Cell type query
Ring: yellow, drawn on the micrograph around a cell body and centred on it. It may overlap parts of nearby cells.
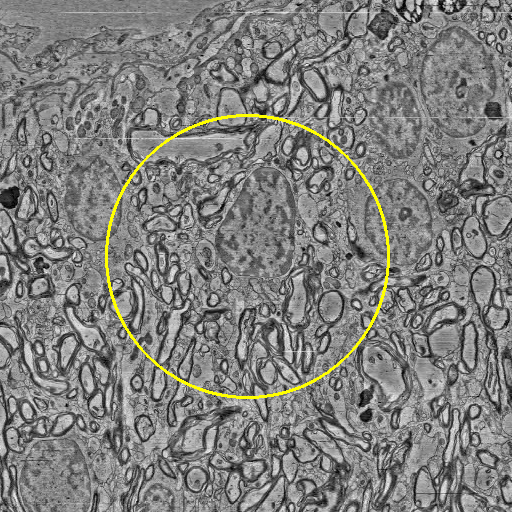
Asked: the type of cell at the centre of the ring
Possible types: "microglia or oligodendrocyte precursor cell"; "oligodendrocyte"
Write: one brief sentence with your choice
The ring marks a microglial cell or oligodendrocyte precursor cell.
